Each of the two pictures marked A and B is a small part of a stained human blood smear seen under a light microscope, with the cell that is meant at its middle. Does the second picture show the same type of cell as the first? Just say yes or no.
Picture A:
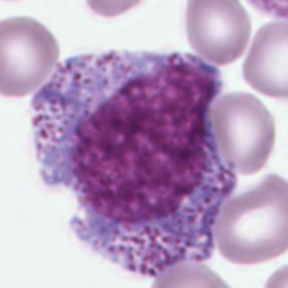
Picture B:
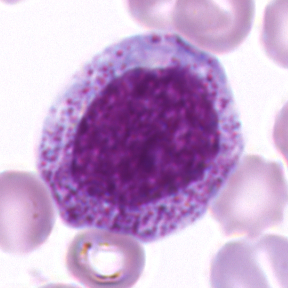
yes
